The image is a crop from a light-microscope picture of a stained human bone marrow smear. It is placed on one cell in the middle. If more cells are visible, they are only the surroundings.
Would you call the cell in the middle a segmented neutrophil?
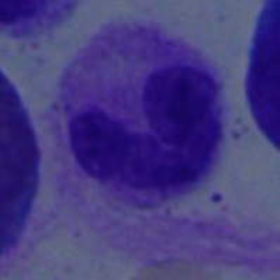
no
